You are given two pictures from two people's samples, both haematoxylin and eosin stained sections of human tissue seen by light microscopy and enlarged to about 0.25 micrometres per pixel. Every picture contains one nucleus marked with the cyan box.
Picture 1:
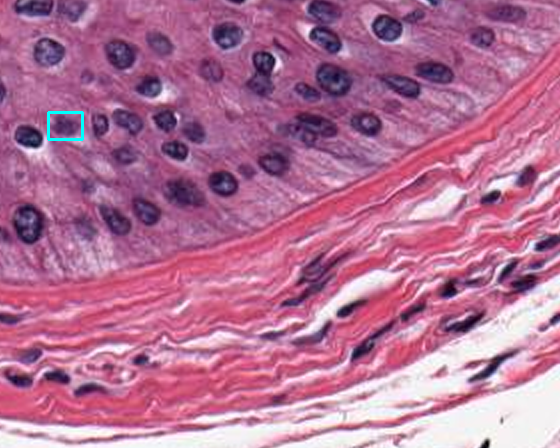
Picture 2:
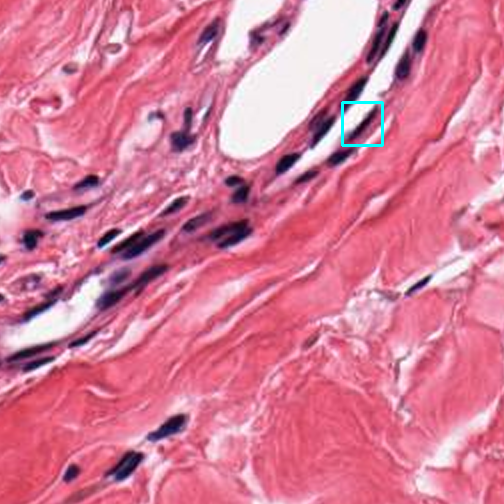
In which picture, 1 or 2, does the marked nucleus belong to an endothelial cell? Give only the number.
2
